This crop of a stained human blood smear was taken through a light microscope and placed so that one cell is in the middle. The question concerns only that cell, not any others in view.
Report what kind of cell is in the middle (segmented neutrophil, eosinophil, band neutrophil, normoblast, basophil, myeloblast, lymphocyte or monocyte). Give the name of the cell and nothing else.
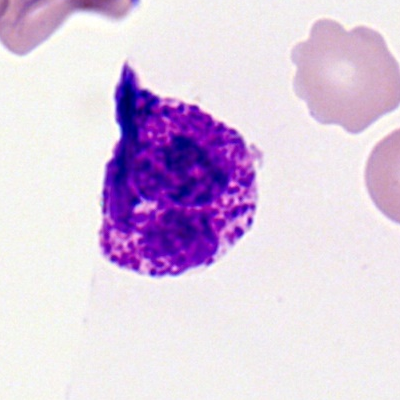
basophil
